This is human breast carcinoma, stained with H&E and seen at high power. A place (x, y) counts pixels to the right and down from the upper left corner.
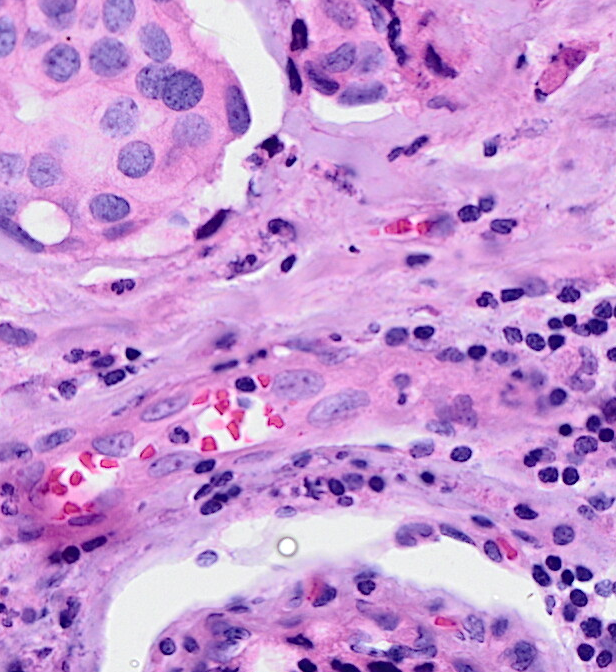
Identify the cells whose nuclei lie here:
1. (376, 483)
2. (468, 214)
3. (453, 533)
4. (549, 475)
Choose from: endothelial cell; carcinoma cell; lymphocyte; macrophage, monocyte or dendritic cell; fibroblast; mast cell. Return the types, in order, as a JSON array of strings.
["lymphocyte", "lymphocyte", "fibroblast", "lymphocyte"]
